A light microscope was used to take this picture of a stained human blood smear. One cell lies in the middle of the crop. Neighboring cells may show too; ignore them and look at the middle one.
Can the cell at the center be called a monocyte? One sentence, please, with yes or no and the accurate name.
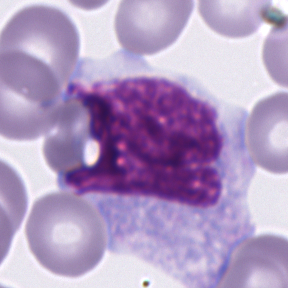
Yes, the cell in the center of the field is a monocyte.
